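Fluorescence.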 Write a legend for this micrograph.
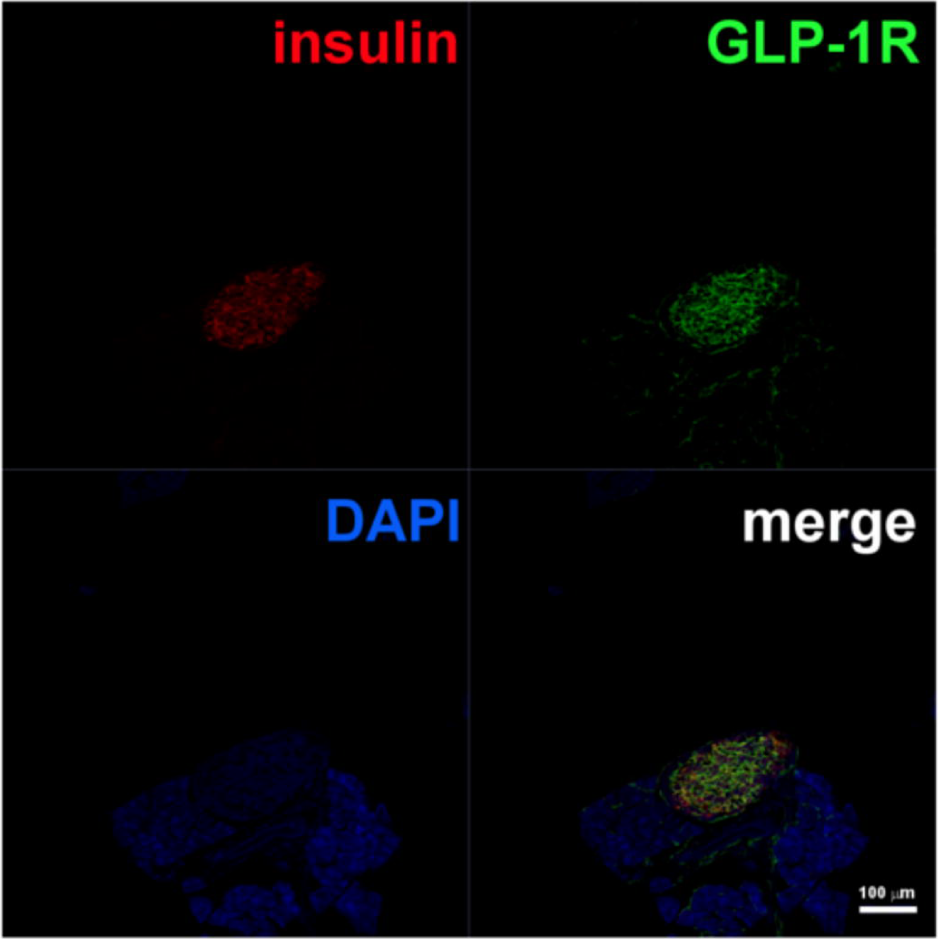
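This is a section of pancreas with a single oval pancreatic islet standing out against the surrounding tissue. In the red channel the islet appears as a compact cluster of cells filled with red staining, while the tissue around it has none. The green channel outlines the same cluster with a dense, fine network, and thin green strands also trail into the nearby tissue. The blue nuclear stain shows the exocrine tissue as lobules around the islet. In the merged view red and green overlap over the whole islet, giving it a yellow-orange look.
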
